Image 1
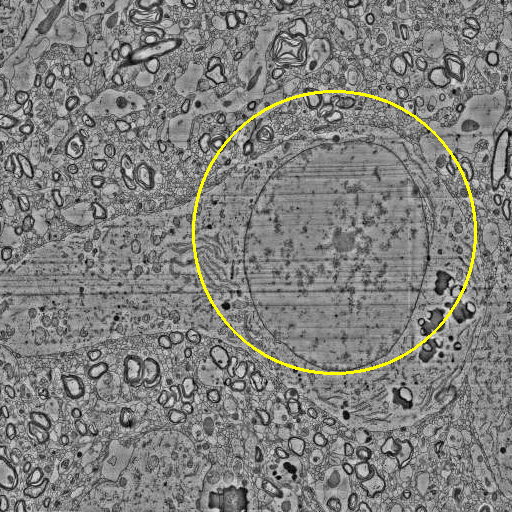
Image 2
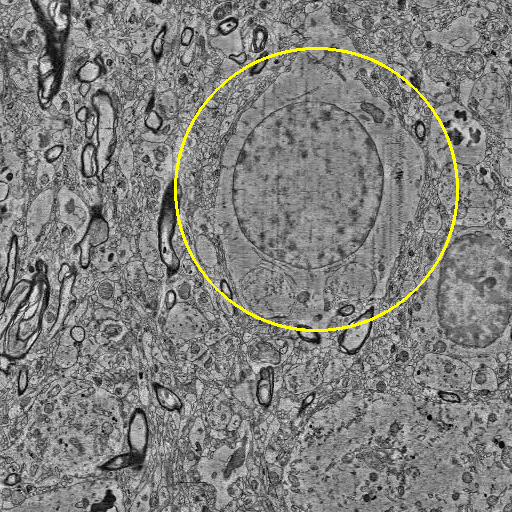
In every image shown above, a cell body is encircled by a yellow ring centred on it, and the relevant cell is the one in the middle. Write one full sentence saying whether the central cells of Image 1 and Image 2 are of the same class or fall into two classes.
The cell at the ring's centre in Image 1 and its counterpart in Image 2 fall into two classes.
